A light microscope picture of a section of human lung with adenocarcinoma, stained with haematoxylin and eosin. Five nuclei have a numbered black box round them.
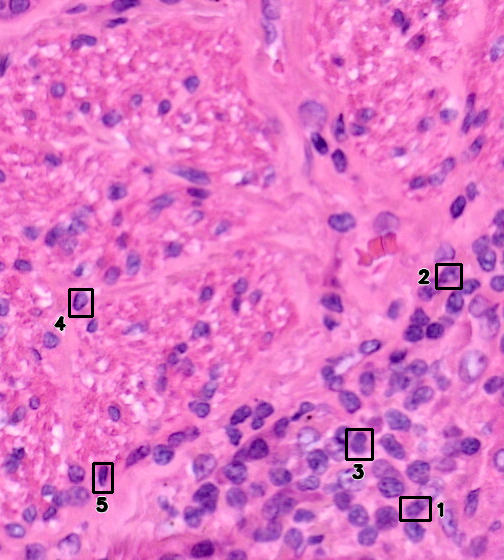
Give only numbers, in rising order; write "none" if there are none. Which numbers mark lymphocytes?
1, 2, 3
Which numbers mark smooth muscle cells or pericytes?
5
